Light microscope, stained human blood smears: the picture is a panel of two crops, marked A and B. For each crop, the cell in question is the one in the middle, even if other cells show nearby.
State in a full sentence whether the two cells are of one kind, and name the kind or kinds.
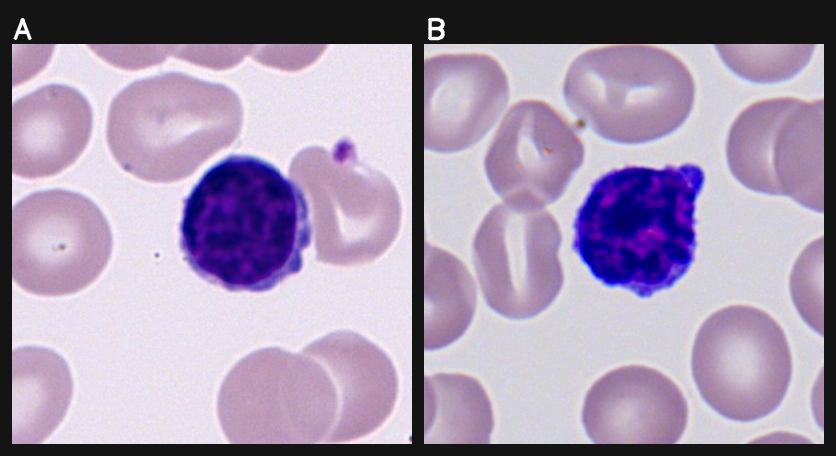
Yes, the cells placed at the centre of both crops are lymphocytes.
